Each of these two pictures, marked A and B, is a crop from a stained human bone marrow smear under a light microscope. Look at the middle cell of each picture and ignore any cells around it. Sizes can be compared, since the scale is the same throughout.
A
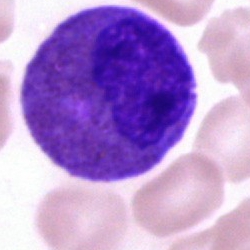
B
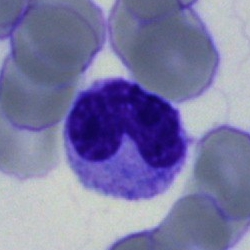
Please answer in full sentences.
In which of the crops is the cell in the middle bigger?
The cell in picture A is larger, with about 2 times the area of the one in picture B.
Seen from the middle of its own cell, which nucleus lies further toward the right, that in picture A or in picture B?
It is the nucleus in picture A that lies further toward the right of its cell.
